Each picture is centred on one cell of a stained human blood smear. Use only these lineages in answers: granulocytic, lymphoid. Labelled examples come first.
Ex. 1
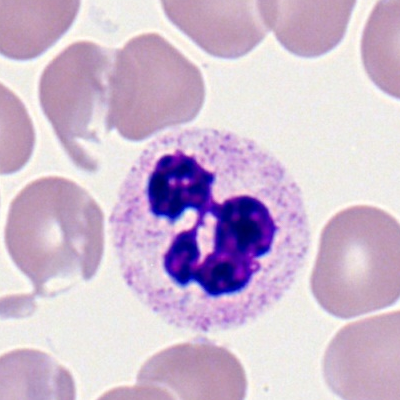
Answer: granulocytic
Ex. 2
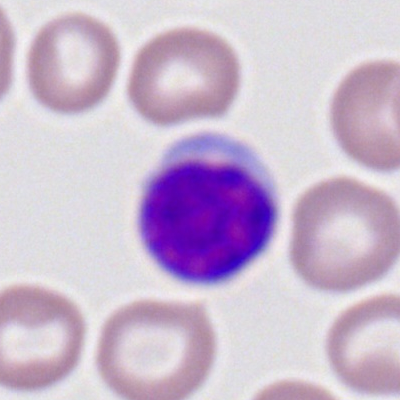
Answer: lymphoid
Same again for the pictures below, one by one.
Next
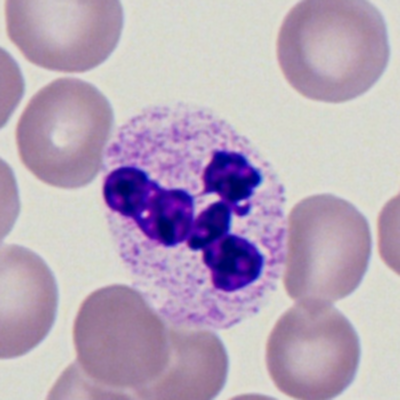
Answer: granulocytic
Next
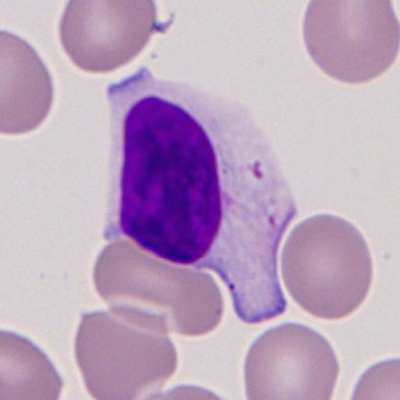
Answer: lymphoid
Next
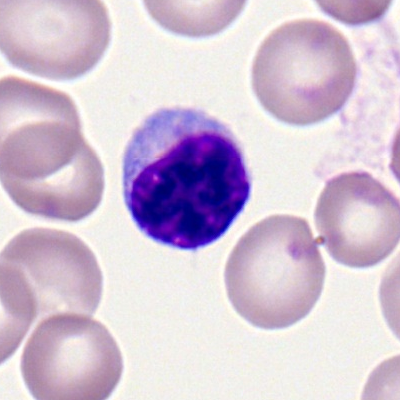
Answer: lymphoid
